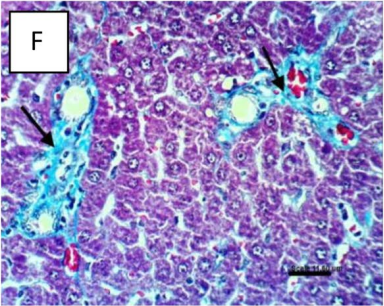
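This is liver at high power showing plates of liver cells around two small portal areas with vessels. The liver cells are polygonal with red-purple cytoplasm and round central nuclei, some cells having two nuclei. Red blood cells are seen in some vessels and sinusoids. The blue-green fibers stay close to the vessels and do not extend as bands between the liver cells.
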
